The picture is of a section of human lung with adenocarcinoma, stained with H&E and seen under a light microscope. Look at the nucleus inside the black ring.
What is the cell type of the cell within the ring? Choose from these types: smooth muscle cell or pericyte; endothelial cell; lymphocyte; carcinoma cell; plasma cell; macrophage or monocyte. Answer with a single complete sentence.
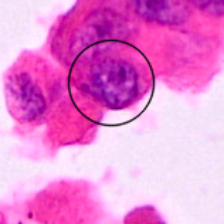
The cell within the ring is a carcinoma cell.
